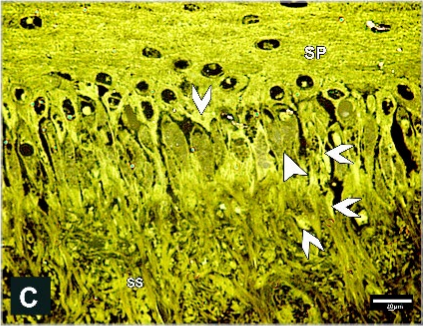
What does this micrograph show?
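Epidermis and upper dermis of skin with large polyhedral spinous cells above, a row of tall columnar basal cells in the middle and wavy collagen fibres of the superficial dermis below. The spinous cells show round dark nuclei in pale olive cytoplasm.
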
